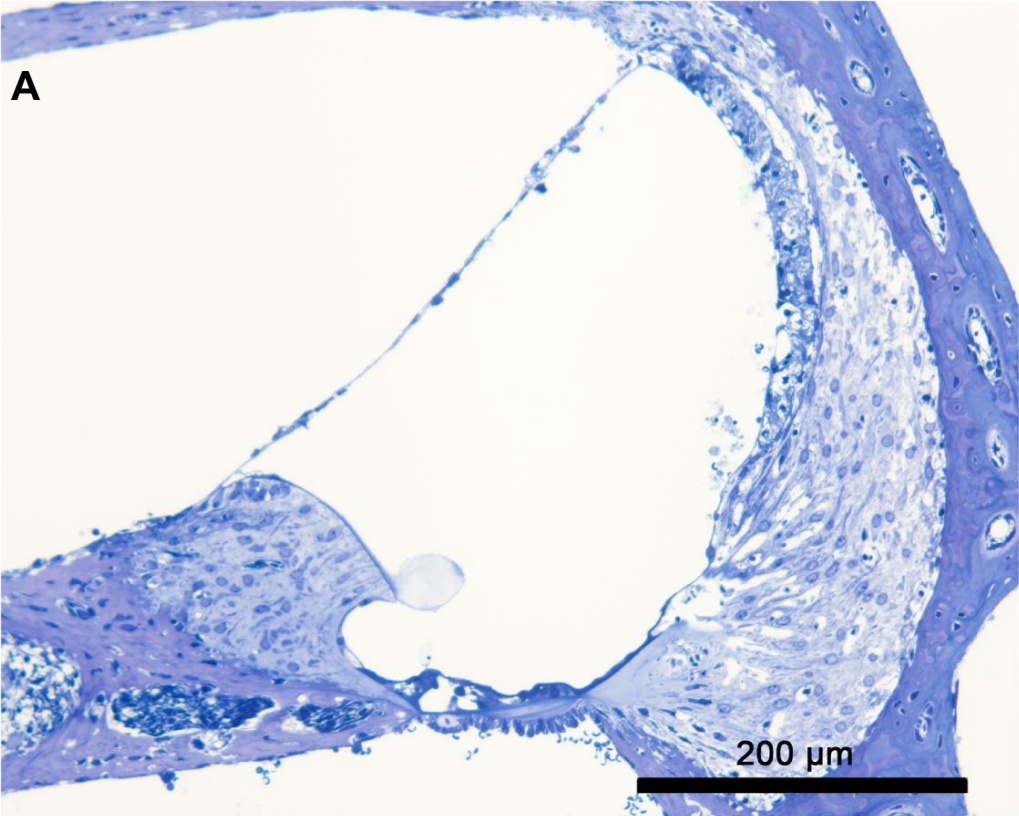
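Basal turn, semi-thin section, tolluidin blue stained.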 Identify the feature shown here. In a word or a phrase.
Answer: cochlea duct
